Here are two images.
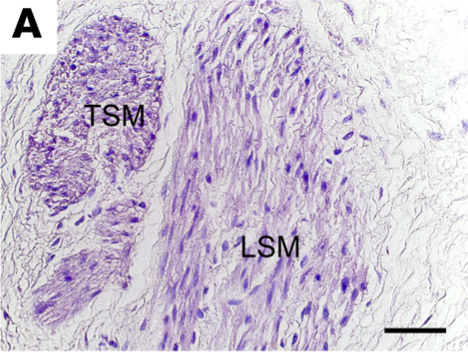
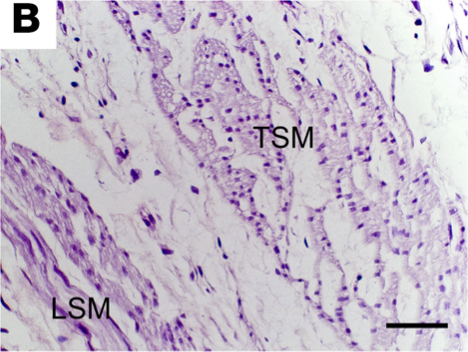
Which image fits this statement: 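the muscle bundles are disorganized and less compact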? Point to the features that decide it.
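The second image. Second image: the transversely cut bundle is loose and fragmented, with wide pale gaps between cells. First image: the transversely cut bundle is a dense, well-defined compact mass.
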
